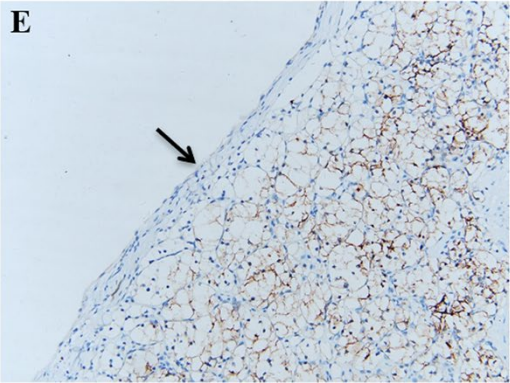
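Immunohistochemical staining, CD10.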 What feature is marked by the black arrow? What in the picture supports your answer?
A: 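The arrow points to the border facing an empty space at the left. The layer at this border is blue and lacks brown stain.
Hence: cystic parts.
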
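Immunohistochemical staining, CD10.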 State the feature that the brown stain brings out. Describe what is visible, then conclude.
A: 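A sheet of polygonal clear cells shows a brown membranous network. The brown-stained cells lie packed in solid nests rather than lining a space. On this evidence: solid parts.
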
